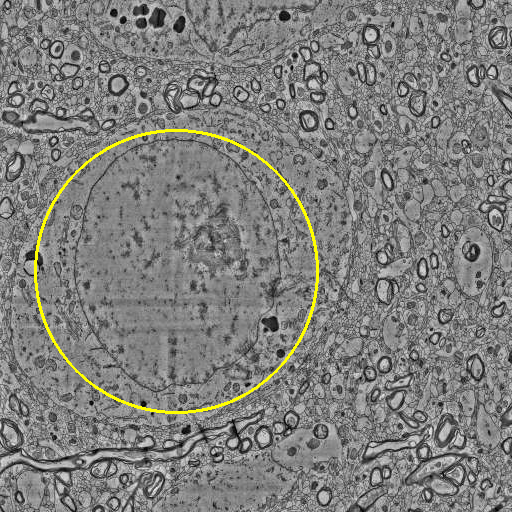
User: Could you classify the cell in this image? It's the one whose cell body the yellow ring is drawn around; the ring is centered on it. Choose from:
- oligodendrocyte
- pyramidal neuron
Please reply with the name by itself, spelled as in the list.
pyramidal neuron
